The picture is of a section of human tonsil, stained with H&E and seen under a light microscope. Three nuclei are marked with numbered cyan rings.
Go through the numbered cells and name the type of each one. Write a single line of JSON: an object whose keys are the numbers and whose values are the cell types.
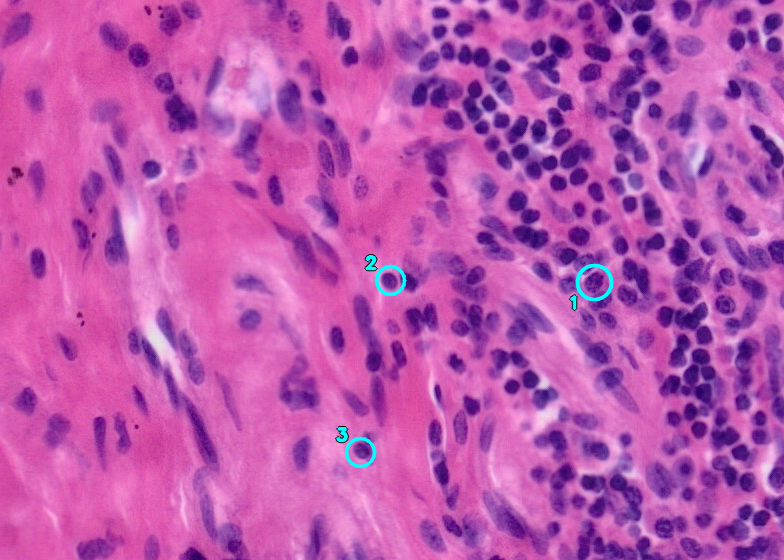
{"1": "plasma cell", "2": "mast cell", "3": "mast cell"}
